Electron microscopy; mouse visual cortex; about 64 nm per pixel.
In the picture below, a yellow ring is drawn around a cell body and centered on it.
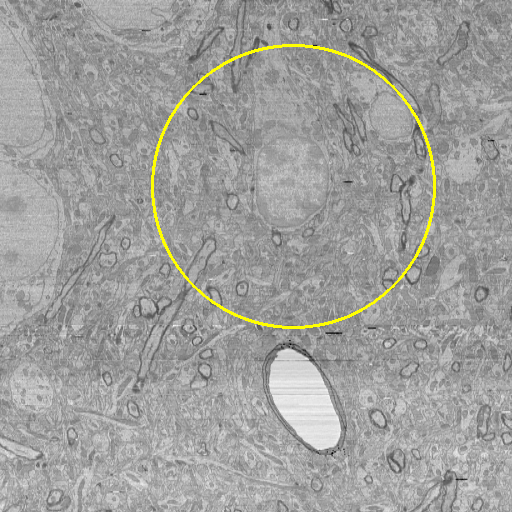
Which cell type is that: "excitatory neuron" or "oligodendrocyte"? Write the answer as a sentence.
The cell centered in the ring is an oligodendrocyte.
